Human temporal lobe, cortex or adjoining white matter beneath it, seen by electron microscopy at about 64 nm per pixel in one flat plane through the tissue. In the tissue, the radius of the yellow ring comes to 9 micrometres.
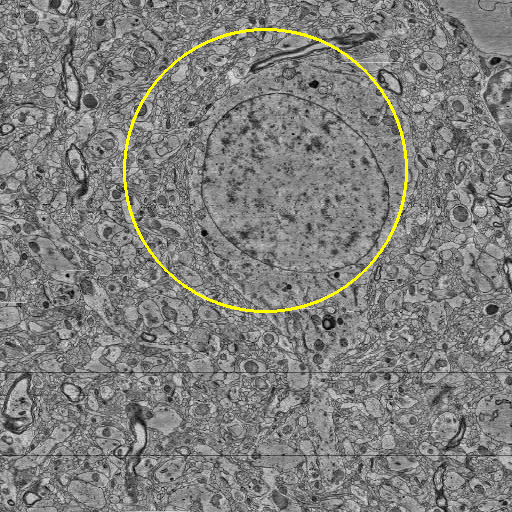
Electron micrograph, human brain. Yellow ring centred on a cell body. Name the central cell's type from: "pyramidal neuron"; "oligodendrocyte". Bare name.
pyramidal neuron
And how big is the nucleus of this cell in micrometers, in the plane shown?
Approximately 13 micrometres across, in this plane.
